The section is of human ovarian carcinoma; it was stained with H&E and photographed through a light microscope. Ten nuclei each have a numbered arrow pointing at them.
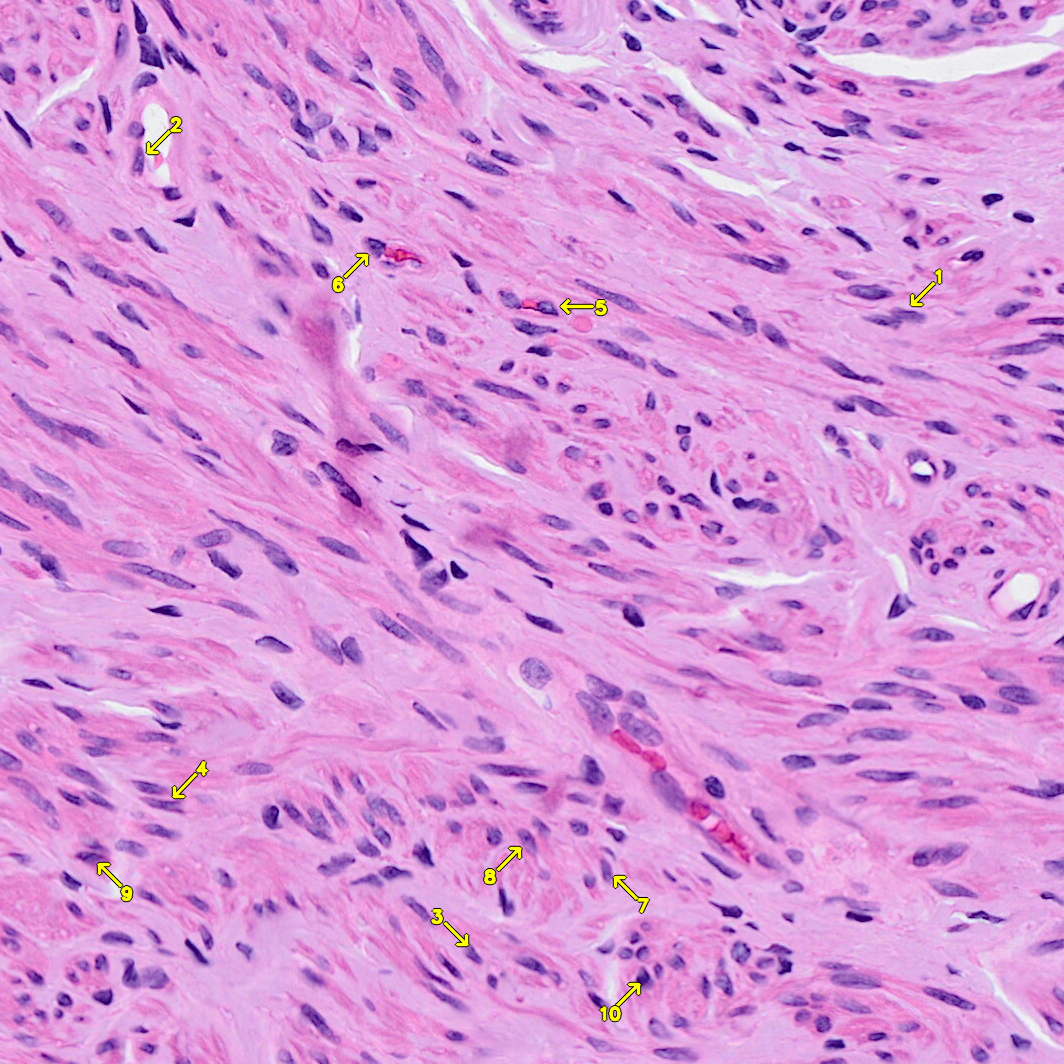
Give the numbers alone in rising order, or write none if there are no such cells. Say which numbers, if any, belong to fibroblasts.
1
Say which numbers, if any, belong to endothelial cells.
2, 5, 6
